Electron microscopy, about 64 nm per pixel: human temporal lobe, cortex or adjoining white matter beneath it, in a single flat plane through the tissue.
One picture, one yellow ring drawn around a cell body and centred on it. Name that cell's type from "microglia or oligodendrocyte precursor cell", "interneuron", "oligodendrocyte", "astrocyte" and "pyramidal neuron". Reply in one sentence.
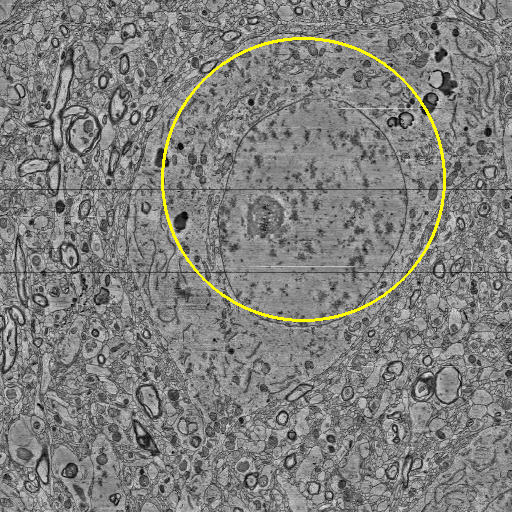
Centred in the ring is a pyramidal neuron.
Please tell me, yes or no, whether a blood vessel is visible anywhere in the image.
No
